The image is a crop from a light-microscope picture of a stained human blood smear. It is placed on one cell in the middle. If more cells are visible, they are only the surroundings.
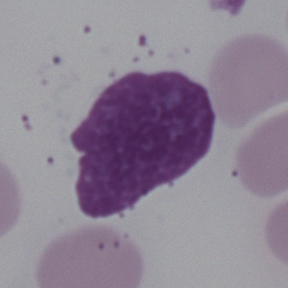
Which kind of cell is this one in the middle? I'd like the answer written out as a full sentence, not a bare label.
Regarding the central cell, it is a smudge cell.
